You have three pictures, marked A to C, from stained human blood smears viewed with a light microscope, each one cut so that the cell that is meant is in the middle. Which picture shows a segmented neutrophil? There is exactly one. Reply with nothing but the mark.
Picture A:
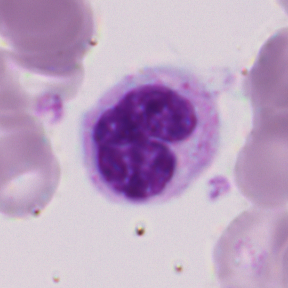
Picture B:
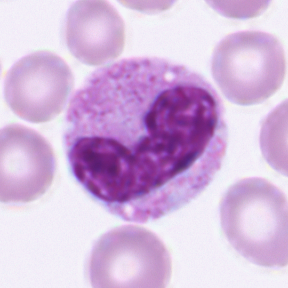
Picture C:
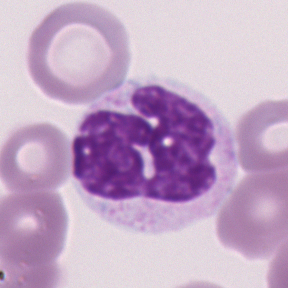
C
